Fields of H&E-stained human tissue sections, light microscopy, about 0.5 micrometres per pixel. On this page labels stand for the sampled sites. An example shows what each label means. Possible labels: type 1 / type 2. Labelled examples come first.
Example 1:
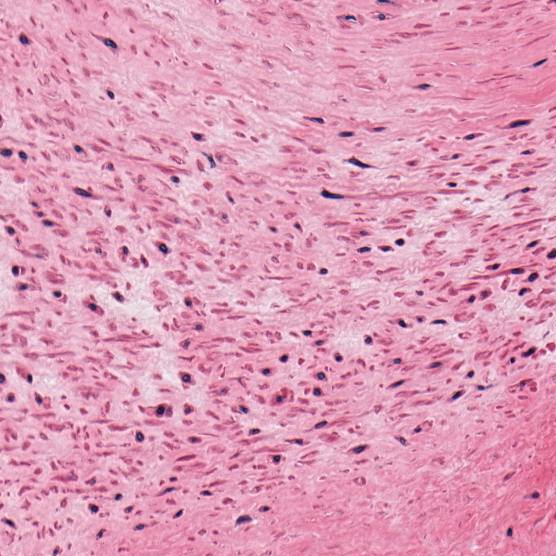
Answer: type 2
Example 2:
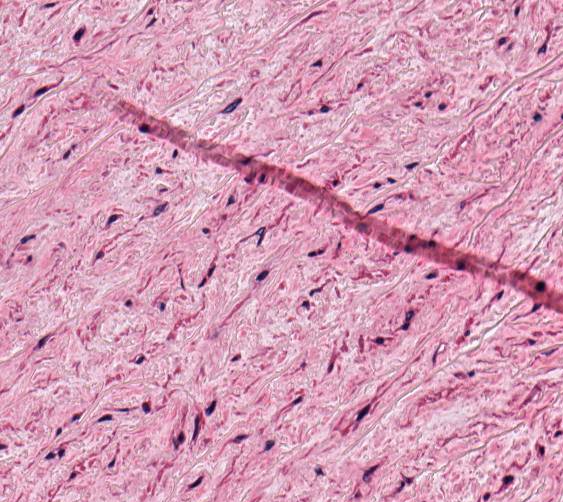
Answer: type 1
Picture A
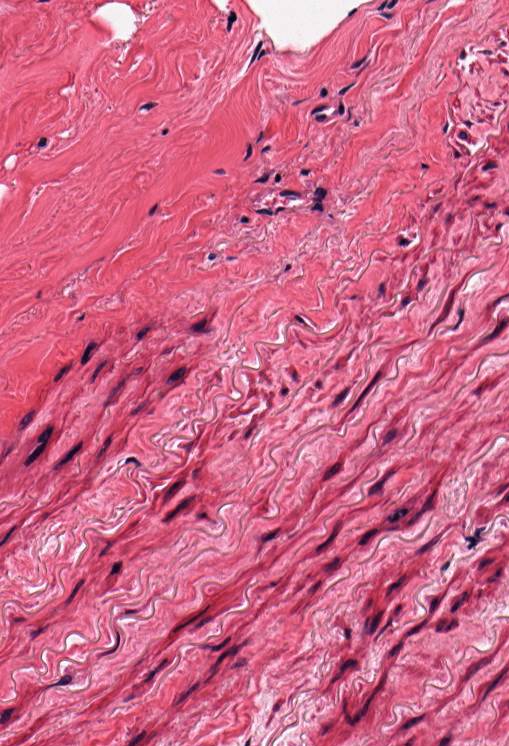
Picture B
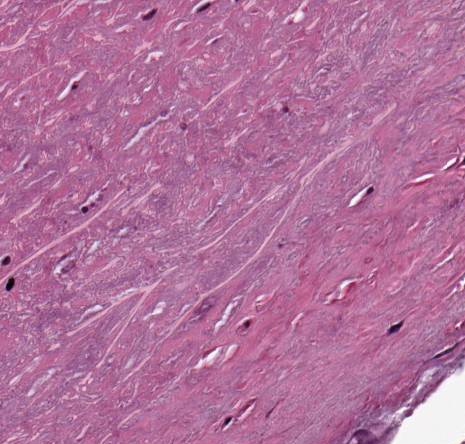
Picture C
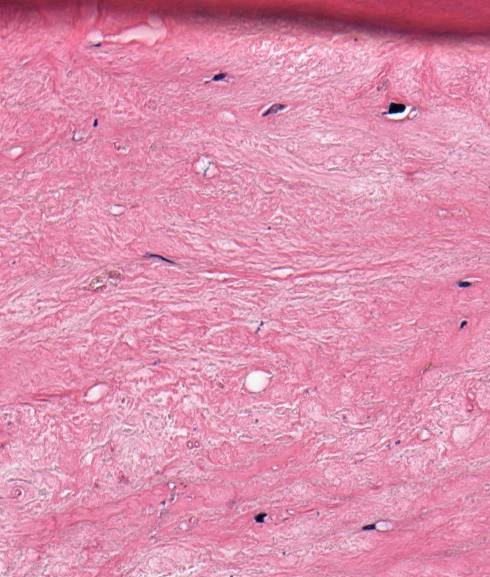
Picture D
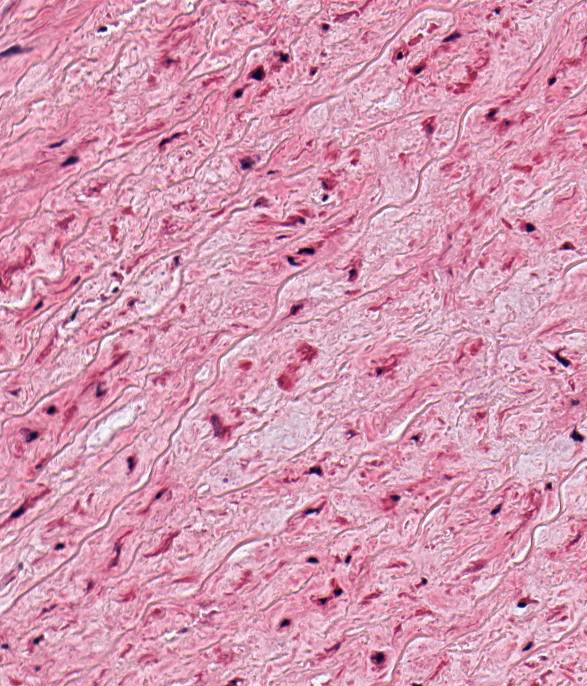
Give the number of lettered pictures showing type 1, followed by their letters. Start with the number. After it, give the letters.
3: A, B, D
